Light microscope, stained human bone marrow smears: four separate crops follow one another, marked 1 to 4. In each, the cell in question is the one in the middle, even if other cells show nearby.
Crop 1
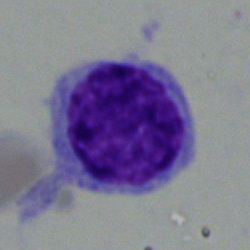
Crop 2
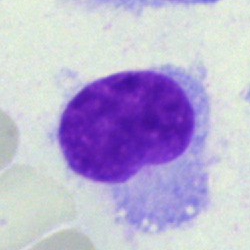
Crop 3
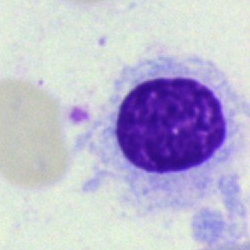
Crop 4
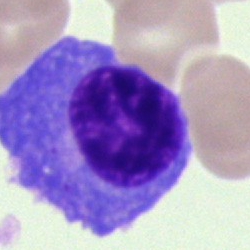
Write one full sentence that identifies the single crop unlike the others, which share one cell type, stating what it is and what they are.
In every crop except crop 4, which shows a plasma cell, hairy cells are shown.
